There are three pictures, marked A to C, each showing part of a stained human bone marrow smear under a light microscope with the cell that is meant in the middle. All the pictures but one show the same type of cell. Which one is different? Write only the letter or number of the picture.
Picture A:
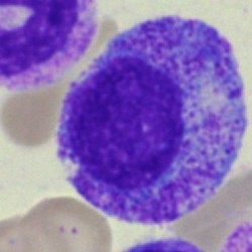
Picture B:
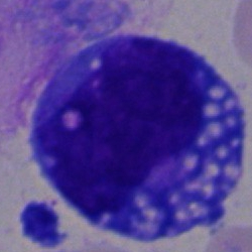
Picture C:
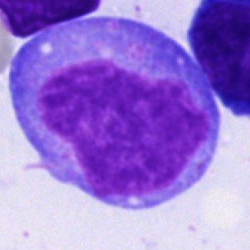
A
